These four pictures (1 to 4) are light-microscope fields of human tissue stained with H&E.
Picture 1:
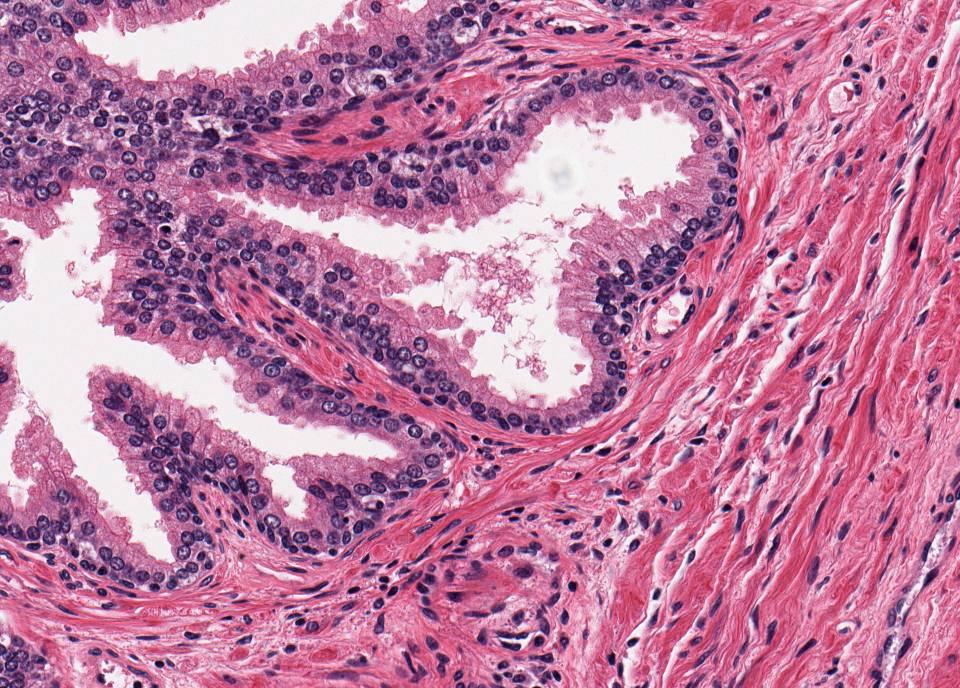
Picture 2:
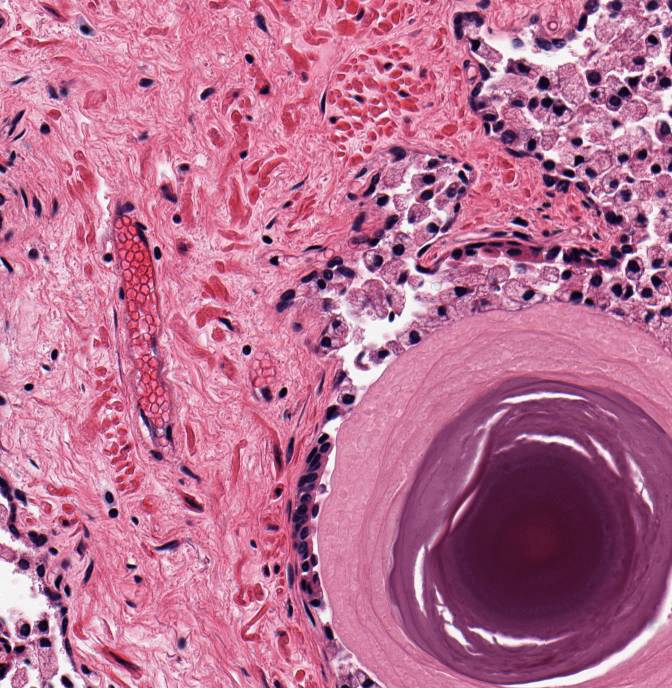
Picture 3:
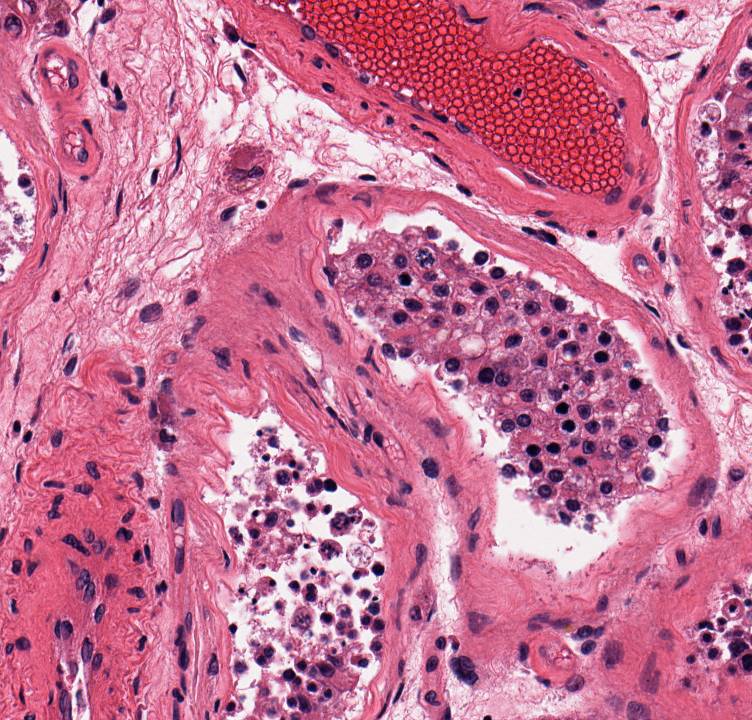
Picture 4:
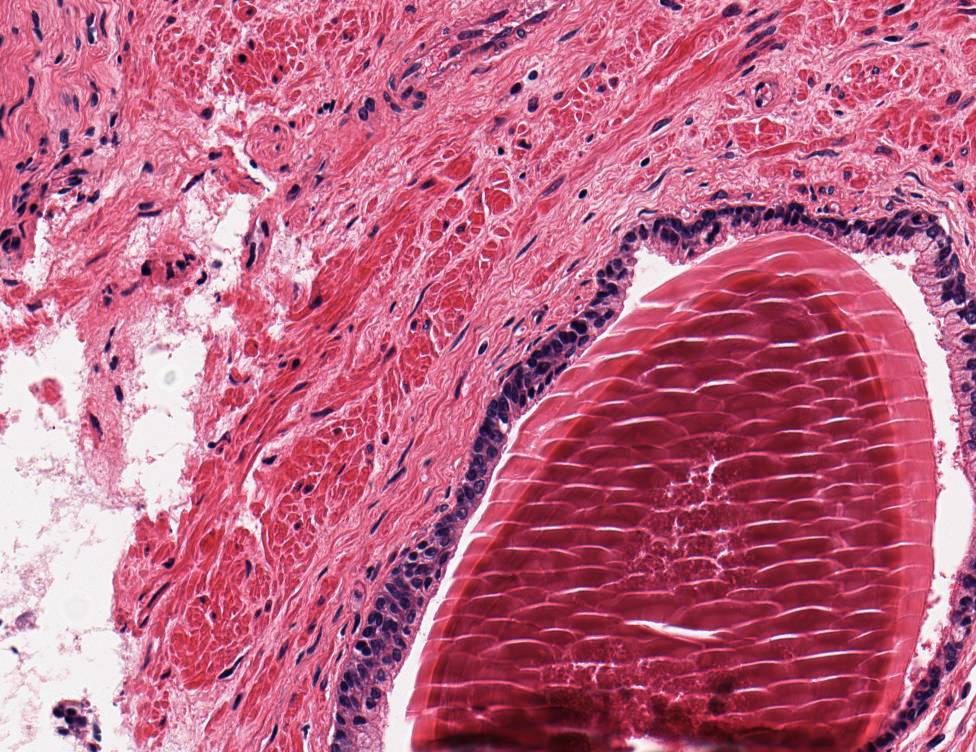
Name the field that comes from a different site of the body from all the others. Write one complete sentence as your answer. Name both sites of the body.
All pictures except 3 come from the prostate; picture 3 comes from the testis.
